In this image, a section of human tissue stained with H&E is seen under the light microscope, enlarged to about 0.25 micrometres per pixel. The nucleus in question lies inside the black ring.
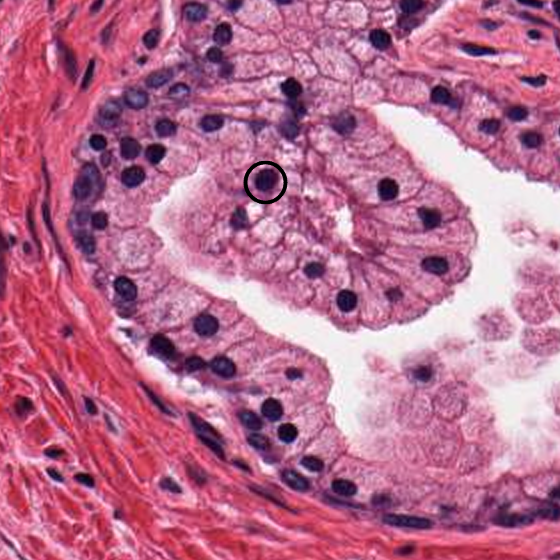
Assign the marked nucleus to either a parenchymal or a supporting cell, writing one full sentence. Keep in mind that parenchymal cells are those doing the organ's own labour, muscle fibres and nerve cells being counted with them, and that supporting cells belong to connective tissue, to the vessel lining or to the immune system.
It is the nucleus of a prostate gland luminal cell, a parenchymal cell, that is marked.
